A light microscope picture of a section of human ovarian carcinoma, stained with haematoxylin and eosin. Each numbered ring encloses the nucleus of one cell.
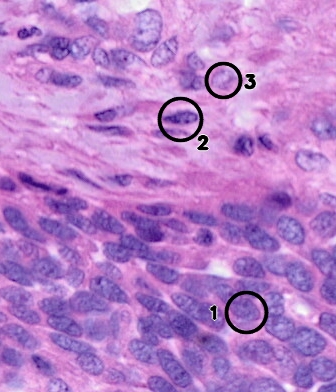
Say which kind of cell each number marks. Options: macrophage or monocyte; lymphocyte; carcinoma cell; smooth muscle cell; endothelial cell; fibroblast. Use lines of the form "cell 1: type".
cell 1: carcinoma cell
cell 2: macrophage or monocyte
cell 3: fibroblast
